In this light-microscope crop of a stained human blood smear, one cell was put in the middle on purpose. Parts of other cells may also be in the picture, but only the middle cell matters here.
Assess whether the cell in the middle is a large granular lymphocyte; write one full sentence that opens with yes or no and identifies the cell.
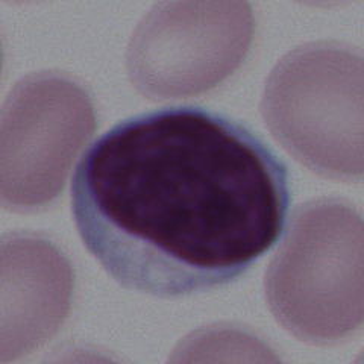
No, the central cell is a typical lymphocyte, not a large granular lymphocyte.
